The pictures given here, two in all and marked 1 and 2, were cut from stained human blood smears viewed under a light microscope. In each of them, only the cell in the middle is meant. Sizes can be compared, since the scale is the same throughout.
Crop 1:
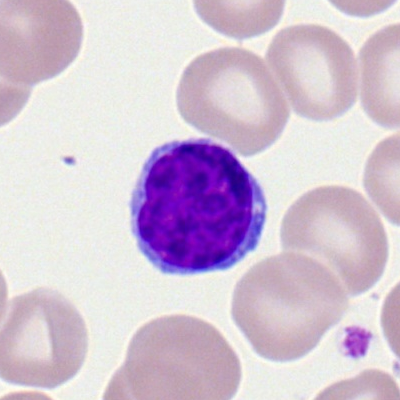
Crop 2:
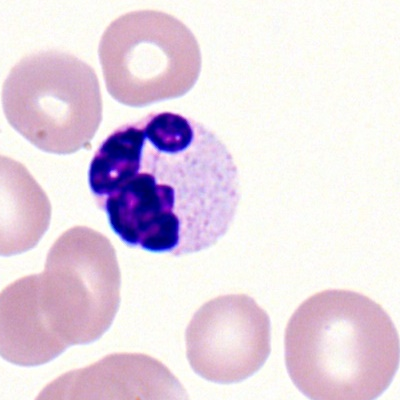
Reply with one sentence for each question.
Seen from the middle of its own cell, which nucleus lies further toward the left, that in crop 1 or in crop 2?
The nucleus in crop 2 lies further toward the left of its cell.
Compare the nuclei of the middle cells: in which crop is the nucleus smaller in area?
Crop 2 shows the smaller nucleus, since that in crop 1 covers about 1.5 times as much area.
